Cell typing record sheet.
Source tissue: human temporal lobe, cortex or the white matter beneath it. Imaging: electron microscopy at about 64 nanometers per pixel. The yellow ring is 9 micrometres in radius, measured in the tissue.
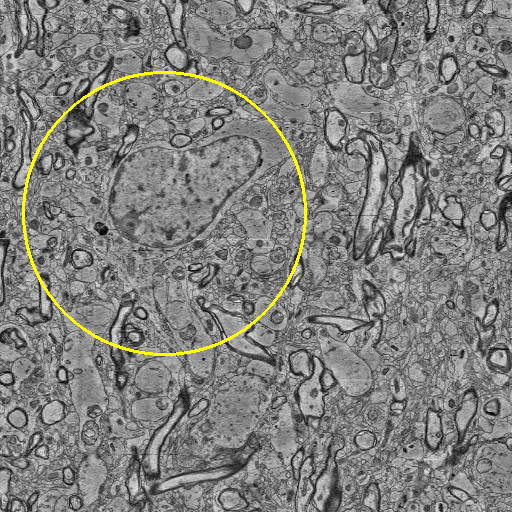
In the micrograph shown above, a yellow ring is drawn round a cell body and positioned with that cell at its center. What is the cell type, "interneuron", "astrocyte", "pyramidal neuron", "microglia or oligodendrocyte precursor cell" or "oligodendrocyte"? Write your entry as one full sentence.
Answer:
The cell body at the center of the ring belongs to a microglial cell or oligodendrocyte precursor cell.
